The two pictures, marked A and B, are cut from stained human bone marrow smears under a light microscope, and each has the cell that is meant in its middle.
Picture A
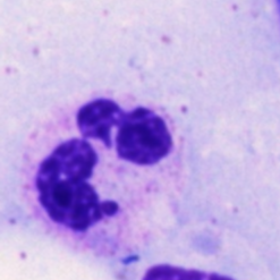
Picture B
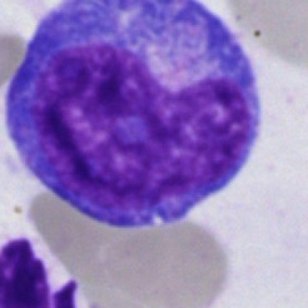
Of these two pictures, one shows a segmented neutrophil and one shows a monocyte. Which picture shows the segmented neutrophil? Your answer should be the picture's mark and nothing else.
A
